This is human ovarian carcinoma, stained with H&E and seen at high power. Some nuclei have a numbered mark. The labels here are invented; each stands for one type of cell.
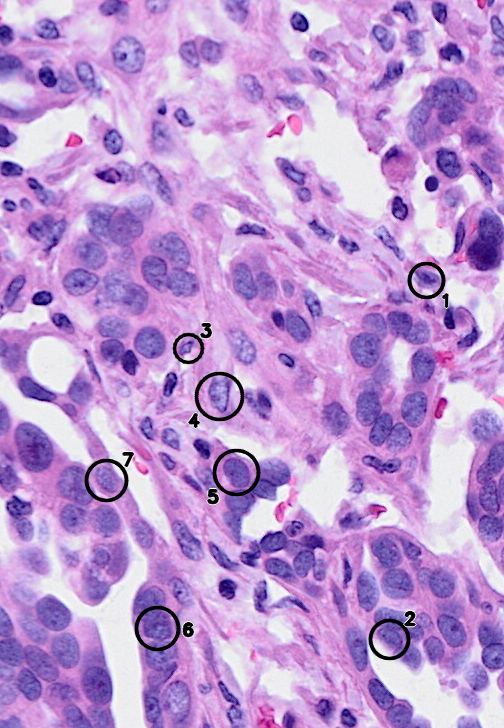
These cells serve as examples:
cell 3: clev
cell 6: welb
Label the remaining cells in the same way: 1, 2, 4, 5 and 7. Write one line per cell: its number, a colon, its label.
1: clev
2: welb
4: clev
5: welb
7: welb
